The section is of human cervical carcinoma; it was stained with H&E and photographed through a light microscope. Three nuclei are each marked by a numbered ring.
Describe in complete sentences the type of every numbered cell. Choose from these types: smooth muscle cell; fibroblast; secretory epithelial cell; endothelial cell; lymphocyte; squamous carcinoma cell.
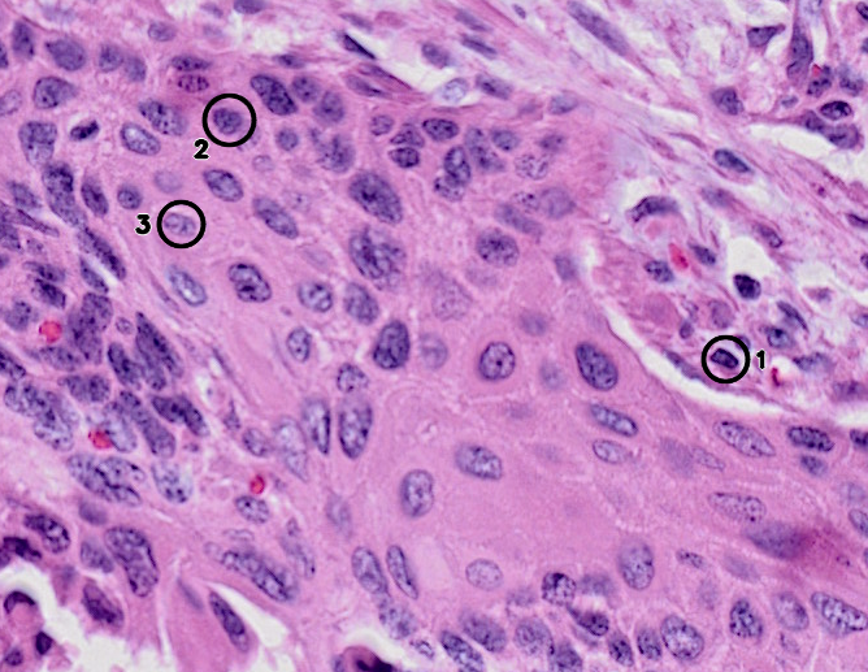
Cell 1 is a lymphocyte, cell 2 is a squamous carcinoma cell and cell 3 is a squamous carcinoma cell.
